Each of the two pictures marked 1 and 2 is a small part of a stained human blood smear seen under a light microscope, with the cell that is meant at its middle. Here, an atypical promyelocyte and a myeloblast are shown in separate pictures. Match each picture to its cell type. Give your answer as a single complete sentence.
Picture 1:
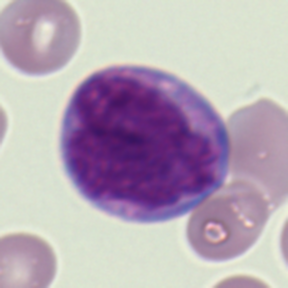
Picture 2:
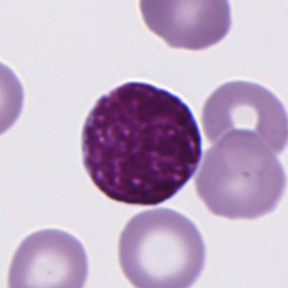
Picture 1 is of an atypical promyelocyte, and picture 2 is of a myeloblast.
